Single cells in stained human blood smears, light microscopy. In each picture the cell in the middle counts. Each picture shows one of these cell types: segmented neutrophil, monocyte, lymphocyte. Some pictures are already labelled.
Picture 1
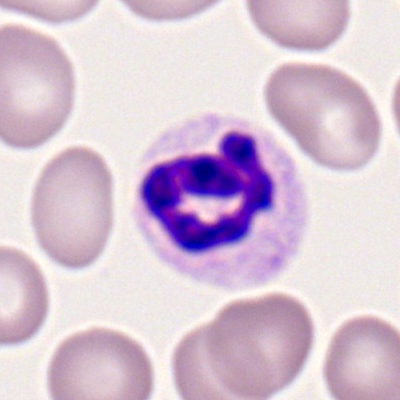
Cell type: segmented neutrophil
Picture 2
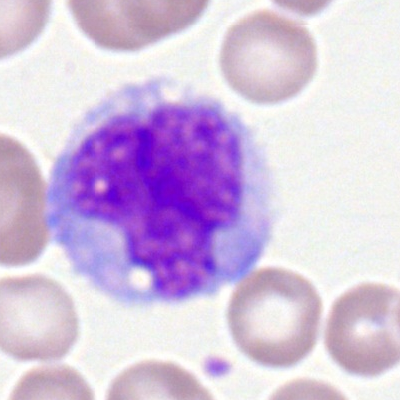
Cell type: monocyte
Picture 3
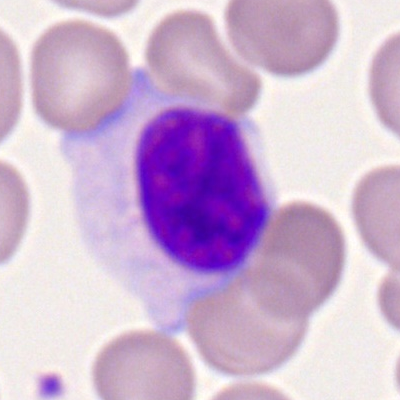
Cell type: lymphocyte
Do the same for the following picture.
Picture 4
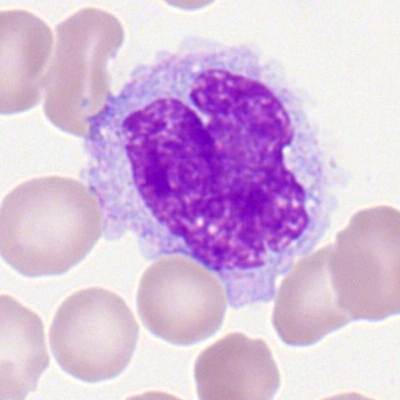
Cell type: monocyte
